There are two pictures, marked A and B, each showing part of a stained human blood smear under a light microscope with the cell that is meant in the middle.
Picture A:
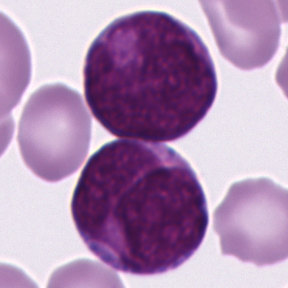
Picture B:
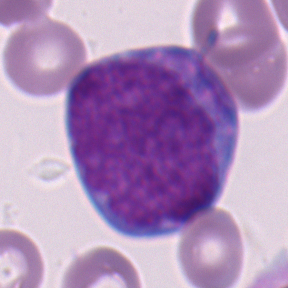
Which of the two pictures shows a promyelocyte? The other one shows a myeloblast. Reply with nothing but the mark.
B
